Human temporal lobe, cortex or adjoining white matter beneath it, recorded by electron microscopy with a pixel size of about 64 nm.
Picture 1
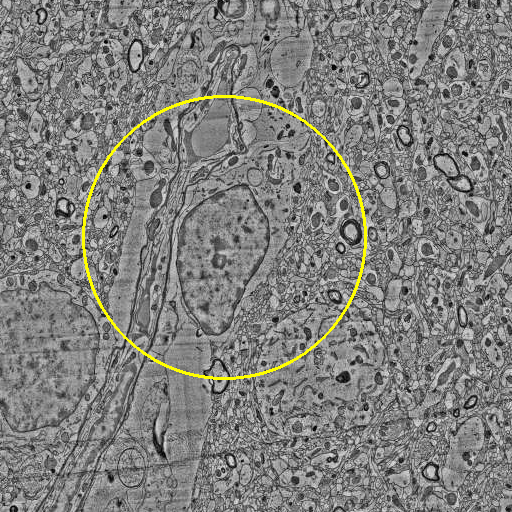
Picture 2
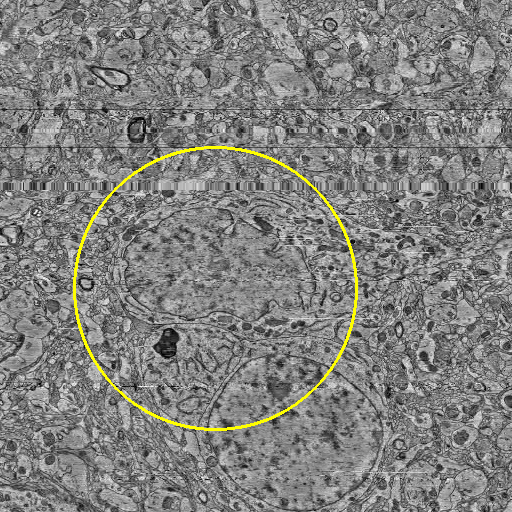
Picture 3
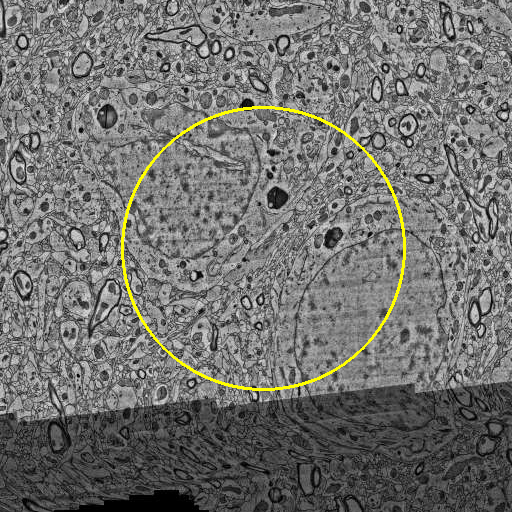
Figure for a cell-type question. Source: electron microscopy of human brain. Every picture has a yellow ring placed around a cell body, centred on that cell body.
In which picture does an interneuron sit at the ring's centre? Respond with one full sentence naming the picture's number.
The cell in the middle of the ring in picture 2 is the one sought.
